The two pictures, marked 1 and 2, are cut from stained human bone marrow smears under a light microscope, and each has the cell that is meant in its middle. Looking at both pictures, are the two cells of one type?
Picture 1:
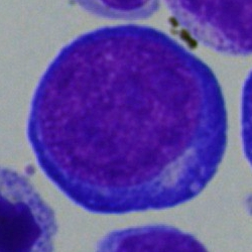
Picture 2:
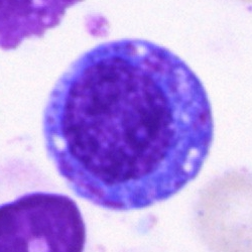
no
